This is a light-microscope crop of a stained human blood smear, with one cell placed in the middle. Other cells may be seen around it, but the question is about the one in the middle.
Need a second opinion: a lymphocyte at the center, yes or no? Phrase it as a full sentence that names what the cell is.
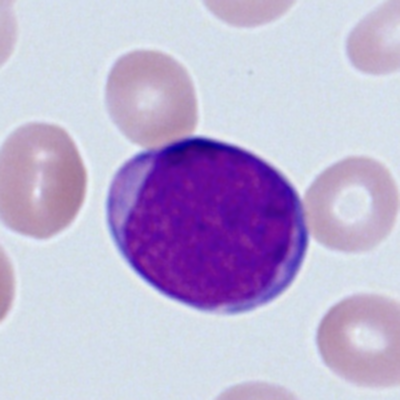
No, what is seen at the centre is a blast instead of a lymphocyte.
